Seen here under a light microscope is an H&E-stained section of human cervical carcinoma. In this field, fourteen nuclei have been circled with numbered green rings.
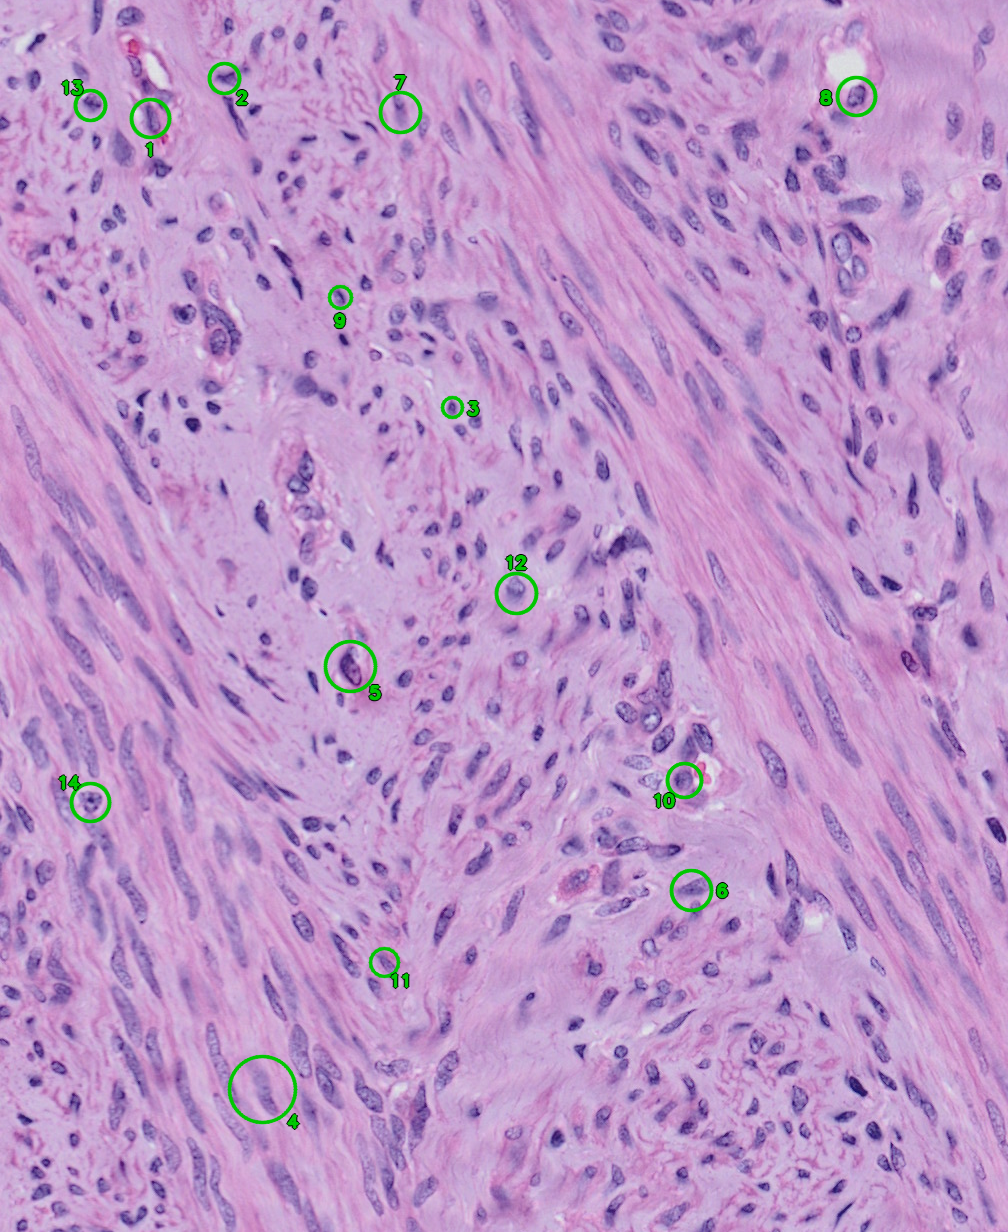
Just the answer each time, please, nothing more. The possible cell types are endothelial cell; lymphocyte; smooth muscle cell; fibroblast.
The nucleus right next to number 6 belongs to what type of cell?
smooth muscle cell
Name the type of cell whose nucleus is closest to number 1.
endothelial cell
